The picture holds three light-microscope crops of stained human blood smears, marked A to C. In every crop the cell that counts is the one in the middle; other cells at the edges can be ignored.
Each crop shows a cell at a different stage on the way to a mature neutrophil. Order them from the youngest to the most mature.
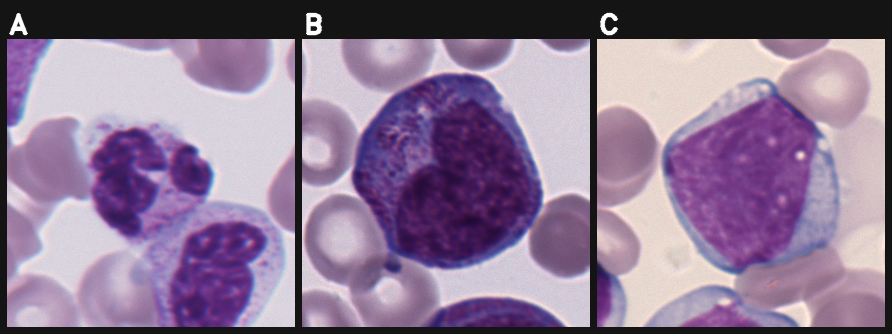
C, B, A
